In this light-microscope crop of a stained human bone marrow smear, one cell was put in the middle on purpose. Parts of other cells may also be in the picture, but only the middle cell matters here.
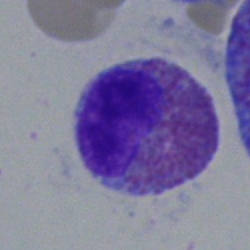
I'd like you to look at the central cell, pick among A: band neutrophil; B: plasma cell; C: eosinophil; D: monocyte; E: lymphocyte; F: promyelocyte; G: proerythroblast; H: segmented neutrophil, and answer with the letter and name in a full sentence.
According to option C, which is correct, the cell in the middle is an eosinophil.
